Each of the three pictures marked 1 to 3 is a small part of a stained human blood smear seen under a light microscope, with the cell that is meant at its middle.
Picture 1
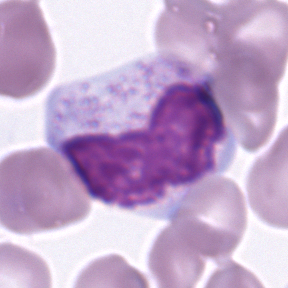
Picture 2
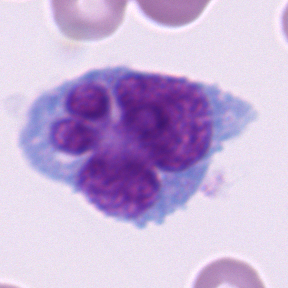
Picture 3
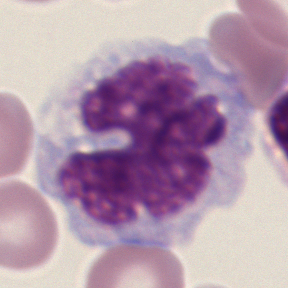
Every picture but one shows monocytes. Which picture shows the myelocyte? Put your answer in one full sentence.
Picture 1 is the one that shows the myelocyte.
